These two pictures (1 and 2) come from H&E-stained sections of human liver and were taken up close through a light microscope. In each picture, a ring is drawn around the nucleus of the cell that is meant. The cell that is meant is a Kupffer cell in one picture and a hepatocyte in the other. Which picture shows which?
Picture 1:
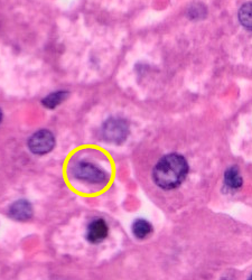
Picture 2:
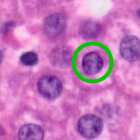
1: Kupffer cell
2: hepatocyte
